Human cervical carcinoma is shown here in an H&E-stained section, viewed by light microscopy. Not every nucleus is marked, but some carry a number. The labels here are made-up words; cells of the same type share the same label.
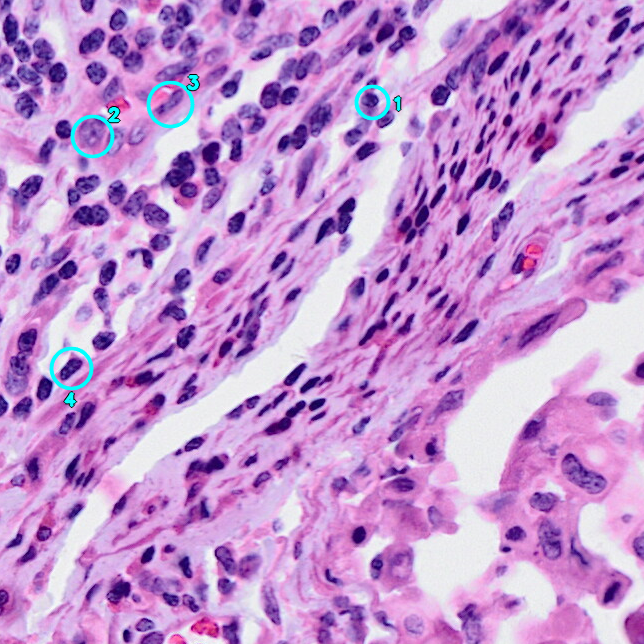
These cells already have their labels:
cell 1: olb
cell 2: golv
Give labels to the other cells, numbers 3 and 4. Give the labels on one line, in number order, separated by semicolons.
golv; olb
